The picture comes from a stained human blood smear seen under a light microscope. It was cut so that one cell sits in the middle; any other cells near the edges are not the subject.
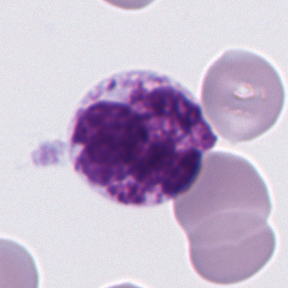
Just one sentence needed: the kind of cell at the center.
The crop's centre is taken up by a basophil.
